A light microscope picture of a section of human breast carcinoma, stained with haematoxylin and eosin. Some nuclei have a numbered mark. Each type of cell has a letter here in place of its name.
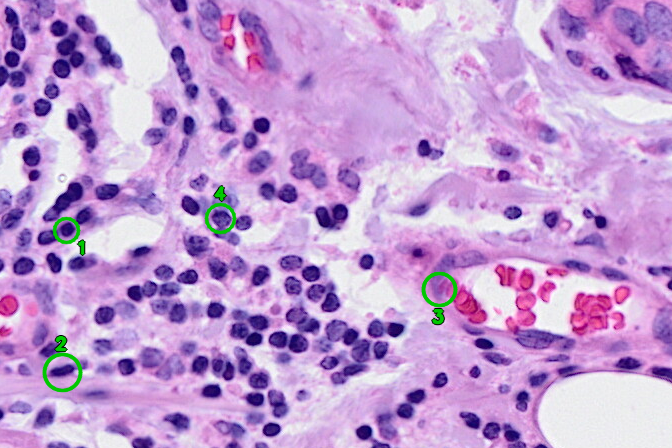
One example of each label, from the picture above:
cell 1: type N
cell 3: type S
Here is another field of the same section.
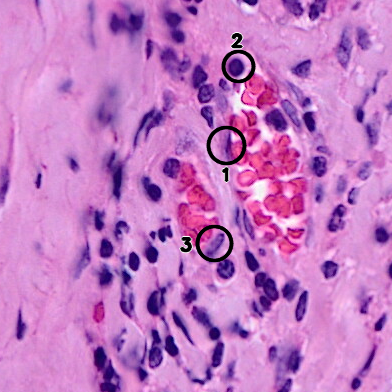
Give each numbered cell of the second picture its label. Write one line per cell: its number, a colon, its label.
1: type S
2: type N
3: type S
